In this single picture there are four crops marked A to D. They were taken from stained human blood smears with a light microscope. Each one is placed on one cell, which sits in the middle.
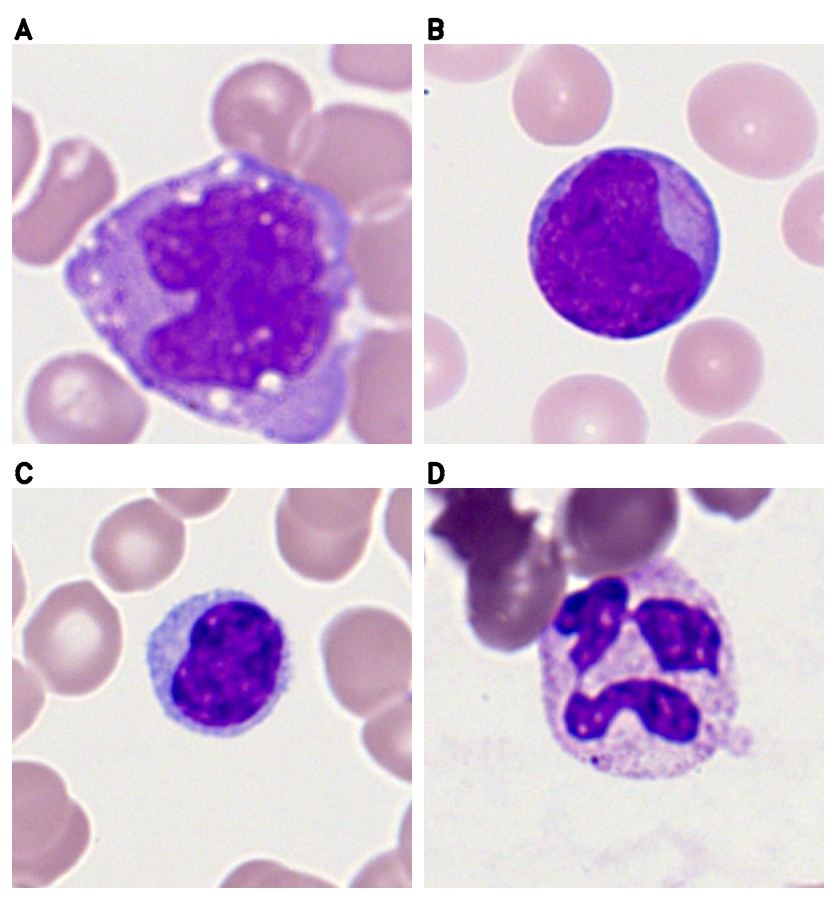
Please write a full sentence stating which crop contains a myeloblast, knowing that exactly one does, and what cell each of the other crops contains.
Among the crops, crop B shows a myeloblast, while crop A is a monocyte, crop C is a lymphocyte and crop D is a segmented neutrophil.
